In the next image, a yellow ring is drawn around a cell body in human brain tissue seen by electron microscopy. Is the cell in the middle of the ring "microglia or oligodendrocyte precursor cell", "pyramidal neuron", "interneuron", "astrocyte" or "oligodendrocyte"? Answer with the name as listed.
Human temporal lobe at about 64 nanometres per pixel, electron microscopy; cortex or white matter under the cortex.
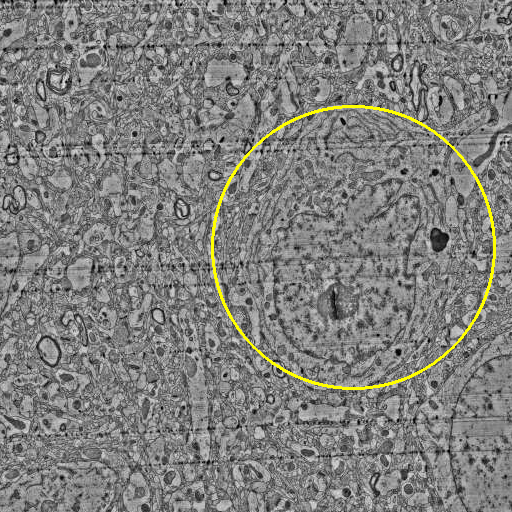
interneuron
